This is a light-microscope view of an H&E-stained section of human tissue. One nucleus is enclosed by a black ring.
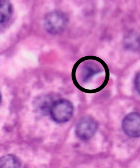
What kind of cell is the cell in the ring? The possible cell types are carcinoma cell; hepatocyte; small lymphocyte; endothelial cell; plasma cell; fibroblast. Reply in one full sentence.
In the context of this tissue, the cell in the ring is an endothelial cell.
